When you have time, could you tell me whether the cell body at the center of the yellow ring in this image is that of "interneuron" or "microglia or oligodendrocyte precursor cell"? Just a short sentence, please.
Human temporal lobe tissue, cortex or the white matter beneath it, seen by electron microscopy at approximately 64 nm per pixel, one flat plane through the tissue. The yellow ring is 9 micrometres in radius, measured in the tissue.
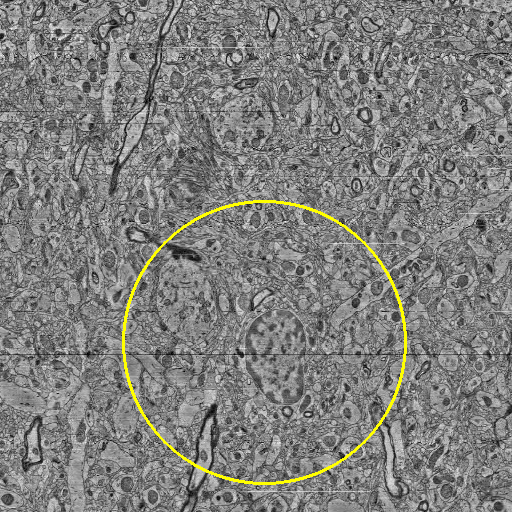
The cell body at the center of the ring is that of a microglial cell or oligodendrocyte precursor cell.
